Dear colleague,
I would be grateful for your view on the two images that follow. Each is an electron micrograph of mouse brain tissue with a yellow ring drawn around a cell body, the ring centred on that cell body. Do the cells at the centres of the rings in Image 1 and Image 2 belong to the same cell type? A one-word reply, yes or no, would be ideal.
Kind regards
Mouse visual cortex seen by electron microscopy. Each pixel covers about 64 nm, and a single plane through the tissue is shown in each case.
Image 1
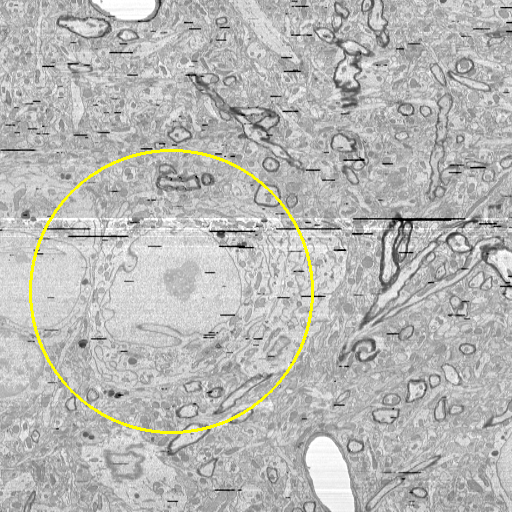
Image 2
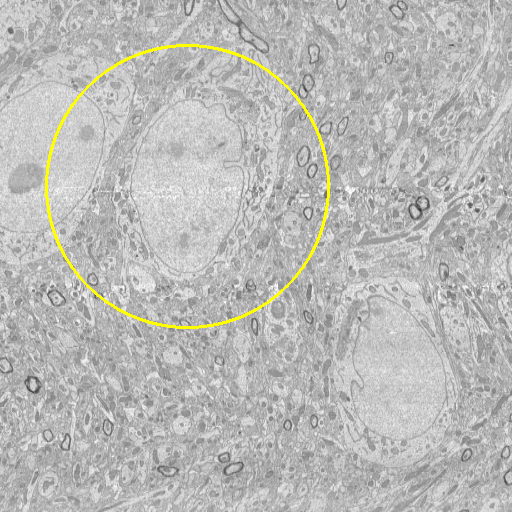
yes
